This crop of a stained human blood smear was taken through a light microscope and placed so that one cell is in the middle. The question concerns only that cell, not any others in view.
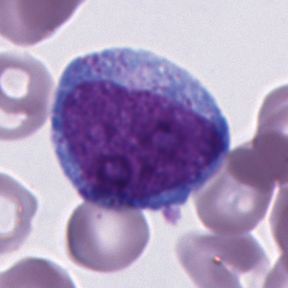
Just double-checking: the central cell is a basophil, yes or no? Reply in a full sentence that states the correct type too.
No, the cell at the centre is a promyelocyte, which rules out a basophil.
